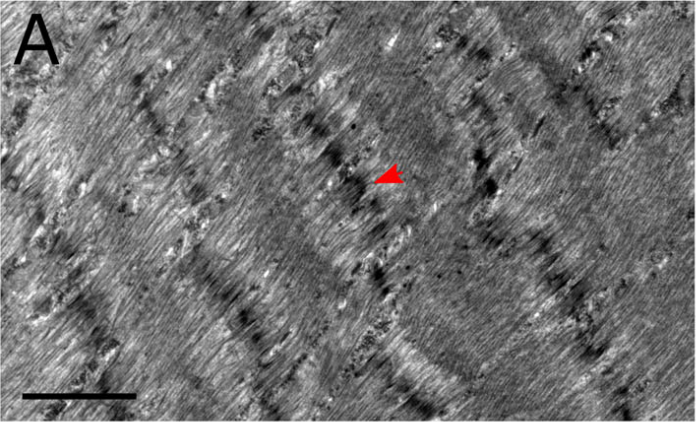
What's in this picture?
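Striated muscle cut along its length, its contractile filaments packed in parallel and crossed at regular intervals by narrow, dark, electron-dense Z-lines that mark off the sarcomeres. The bands run in a steady oblique series across the field, with small pale clefts and dark granular deposits lying between the myofibrils.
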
